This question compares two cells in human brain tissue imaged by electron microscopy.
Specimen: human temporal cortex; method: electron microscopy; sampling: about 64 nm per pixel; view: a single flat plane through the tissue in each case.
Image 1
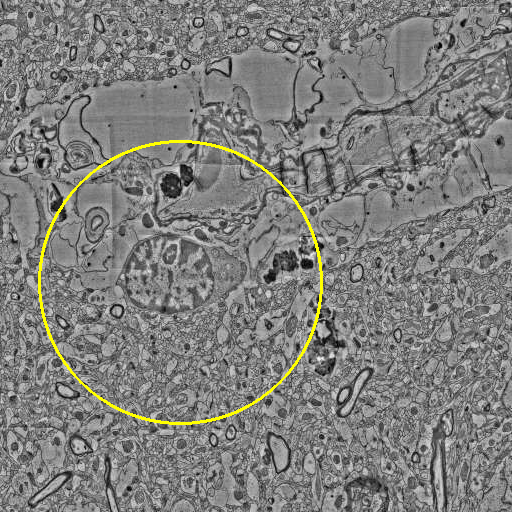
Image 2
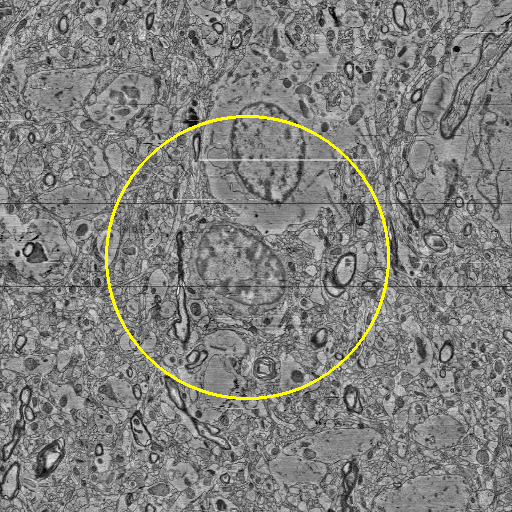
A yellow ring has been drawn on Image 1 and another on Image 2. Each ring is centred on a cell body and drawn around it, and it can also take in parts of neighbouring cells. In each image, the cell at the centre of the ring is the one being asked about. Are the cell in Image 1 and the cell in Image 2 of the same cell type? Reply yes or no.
yes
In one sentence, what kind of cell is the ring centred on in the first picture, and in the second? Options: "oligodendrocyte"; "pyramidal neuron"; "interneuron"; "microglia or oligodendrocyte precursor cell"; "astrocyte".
The cell in the first picture is an oligodendrocyte, and so is the one in the second.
